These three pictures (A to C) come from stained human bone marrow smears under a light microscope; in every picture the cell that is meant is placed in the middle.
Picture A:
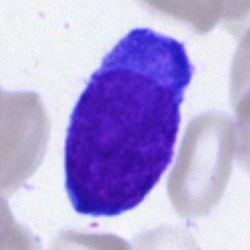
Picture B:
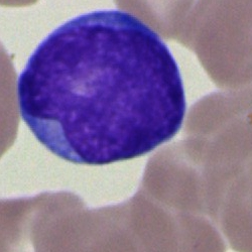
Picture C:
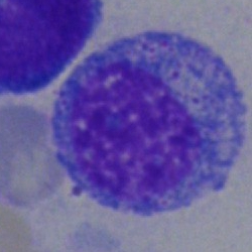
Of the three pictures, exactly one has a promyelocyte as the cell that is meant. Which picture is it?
C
